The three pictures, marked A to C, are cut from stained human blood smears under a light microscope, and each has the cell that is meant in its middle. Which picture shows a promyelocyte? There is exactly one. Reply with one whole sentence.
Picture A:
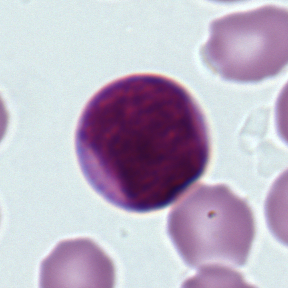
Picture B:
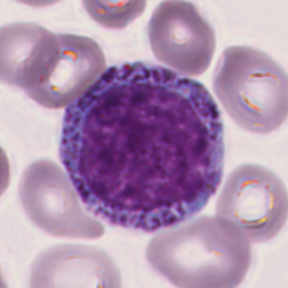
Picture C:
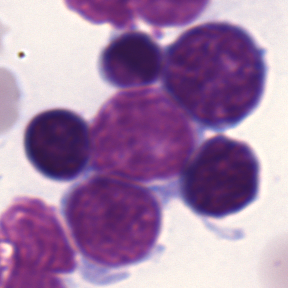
The promyelocyte is the one in picture B.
